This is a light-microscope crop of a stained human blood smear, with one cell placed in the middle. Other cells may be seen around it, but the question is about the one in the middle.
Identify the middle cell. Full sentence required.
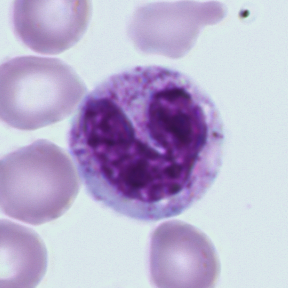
The central element of this crop is a cell, namely a band neutrophil.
